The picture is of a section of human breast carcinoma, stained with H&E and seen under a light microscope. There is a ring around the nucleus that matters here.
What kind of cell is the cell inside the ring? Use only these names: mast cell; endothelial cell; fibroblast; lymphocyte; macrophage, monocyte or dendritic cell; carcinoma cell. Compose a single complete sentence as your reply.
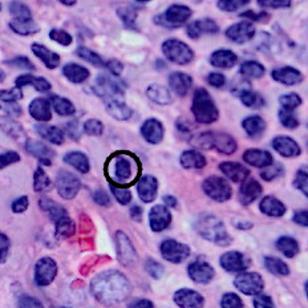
Recorded by type, the cell inside the ring is a lymphocyte.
